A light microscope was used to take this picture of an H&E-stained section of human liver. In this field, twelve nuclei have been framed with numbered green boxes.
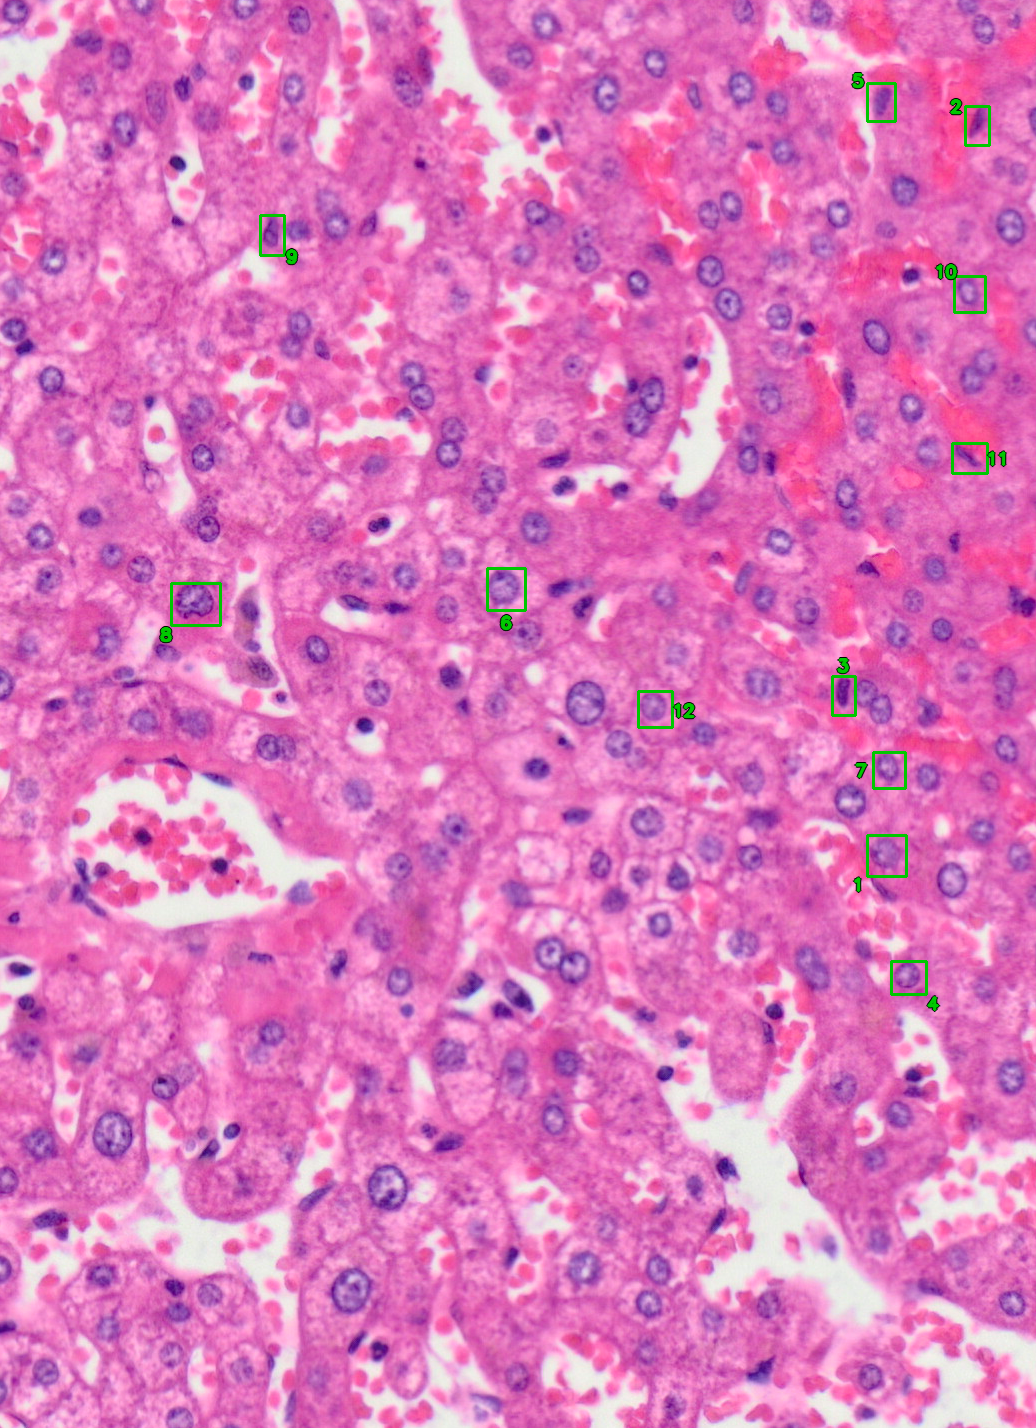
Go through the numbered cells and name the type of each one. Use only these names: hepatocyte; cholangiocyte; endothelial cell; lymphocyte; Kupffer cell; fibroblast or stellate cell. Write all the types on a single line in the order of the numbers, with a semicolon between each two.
hepatocyte; endothelial cell; fibroblast or stellate cell; hepatocyte; fibroblast or stellate cell; hepatocyte; hepatocyte; hepatocyte; Kupffer cell; hepatocyte; endothelial cell; hepatocyte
